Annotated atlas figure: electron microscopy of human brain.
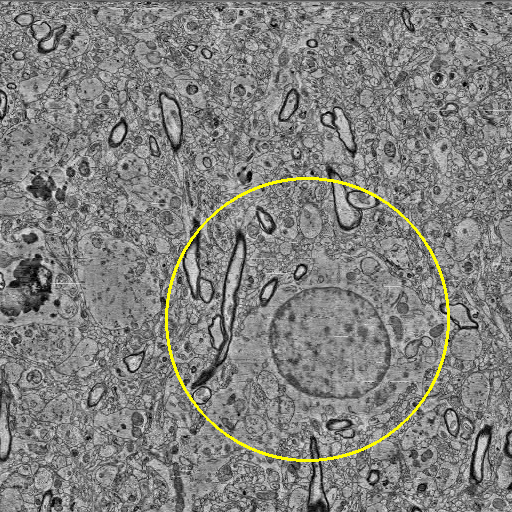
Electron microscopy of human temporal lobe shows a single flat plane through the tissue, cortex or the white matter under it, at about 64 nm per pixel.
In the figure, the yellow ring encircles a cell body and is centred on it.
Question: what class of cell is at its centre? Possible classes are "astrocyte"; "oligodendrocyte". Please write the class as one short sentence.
The yellow ring is drawn around an astrocyte.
